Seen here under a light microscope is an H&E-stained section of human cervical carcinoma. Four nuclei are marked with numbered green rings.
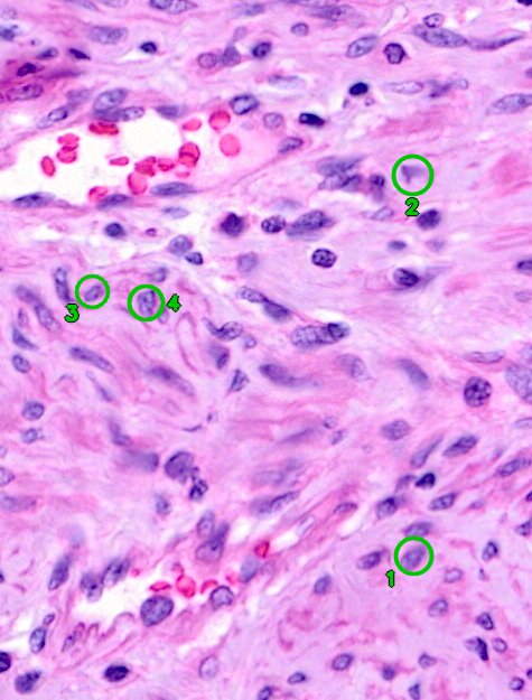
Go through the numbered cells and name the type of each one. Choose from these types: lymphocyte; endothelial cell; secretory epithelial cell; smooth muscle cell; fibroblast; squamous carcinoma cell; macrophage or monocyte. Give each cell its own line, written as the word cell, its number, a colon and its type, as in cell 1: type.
cell 1: smooth muscle cell
cell 2: fibroblast
cell 3: smooth muscle cell
cell 4: smooth muscle cell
